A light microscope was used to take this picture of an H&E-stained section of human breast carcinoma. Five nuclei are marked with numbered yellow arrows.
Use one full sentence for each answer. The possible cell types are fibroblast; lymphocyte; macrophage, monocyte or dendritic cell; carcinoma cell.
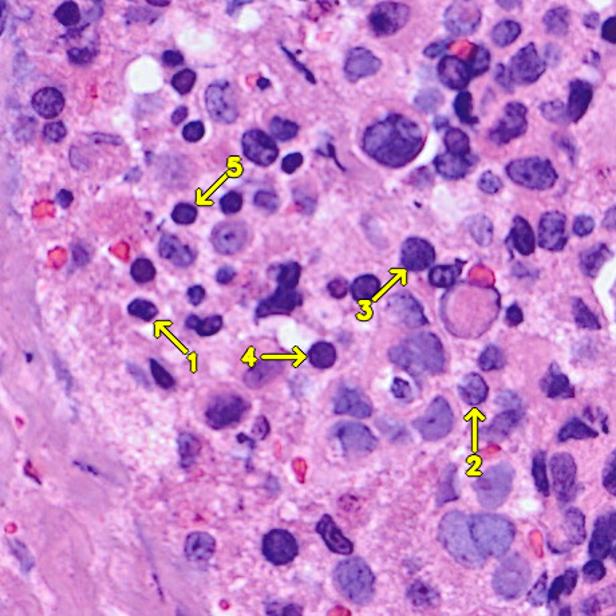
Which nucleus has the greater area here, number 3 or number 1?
The larger nucleus is 3, at roughly 2 times the area of 1.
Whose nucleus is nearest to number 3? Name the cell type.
Number 3 lies closest to the nucleus of a carcinoma cell.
